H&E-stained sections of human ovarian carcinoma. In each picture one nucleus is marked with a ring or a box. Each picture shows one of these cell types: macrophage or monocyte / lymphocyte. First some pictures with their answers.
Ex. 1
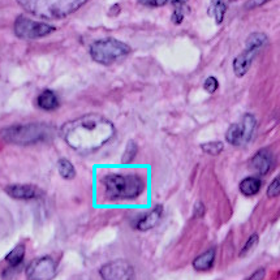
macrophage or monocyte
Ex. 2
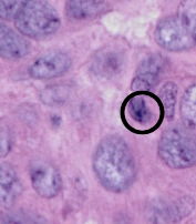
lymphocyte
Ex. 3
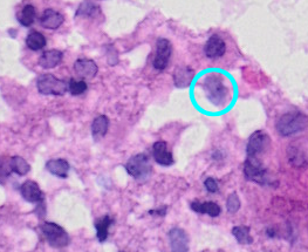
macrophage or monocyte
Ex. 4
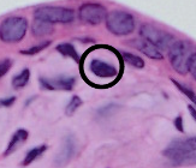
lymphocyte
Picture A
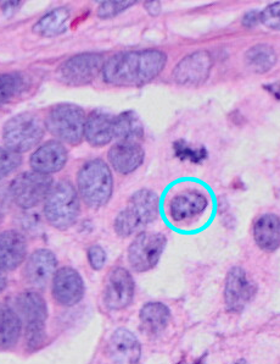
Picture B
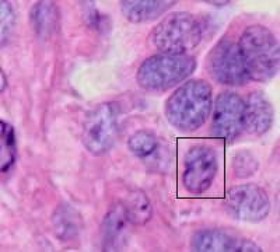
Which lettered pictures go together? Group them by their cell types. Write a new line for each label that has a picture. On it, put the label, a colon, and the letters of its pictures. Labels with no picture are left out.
macrophage or monocyte: A, B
